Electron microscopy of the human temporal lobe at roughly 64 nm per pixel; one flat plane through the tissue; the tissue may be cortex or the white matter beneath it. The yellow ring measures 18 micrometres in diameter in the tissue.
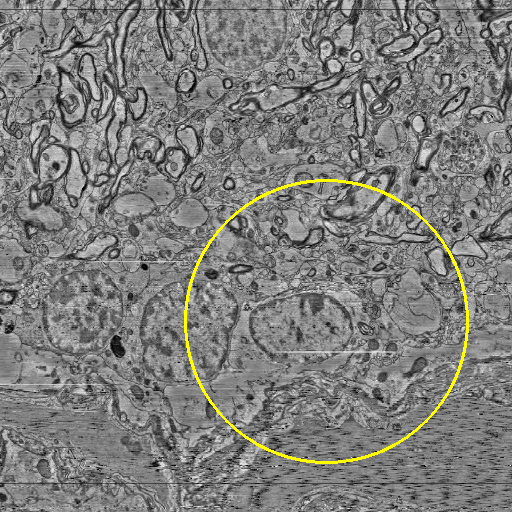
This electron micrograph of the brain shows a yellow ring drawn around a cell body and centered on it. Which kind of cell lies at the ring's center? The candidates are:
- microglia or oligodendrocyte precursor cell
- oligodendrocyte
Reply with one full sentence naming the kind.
The cell lying at the ring's center in this micrograph is a microglial cell or oligodendrocyte precursor cell.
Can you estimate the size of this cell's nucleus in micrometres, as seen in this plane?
The nucleus has a long axis of about 7 micrometres and a short axis of about 5 micrometres in this plane.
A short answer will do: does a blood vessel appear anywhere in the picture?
Yes.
